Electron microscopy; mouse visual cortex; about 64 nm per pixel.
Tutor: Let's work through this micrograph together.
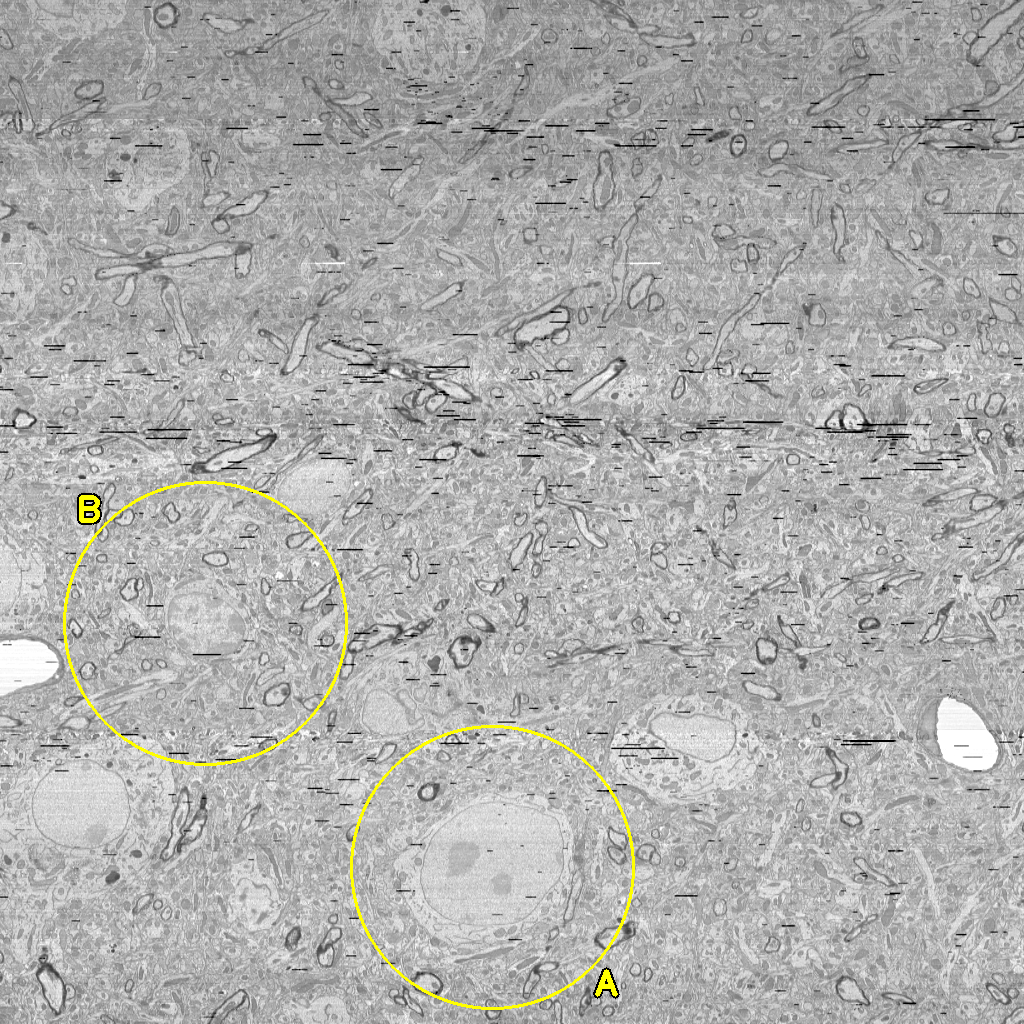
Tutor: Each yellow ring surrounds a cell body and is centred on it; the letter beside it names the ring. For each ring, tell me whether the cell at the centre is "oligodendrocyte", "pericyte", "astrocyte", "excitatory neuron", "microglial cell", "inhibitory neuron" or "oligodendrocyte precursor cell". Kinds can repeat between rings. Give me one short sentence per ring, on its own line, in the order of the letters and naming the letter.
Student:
The ring labelled A is centred on an excitatory neuron.
The ring labelled B is centred on an oligodendrocyte.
